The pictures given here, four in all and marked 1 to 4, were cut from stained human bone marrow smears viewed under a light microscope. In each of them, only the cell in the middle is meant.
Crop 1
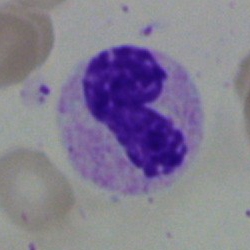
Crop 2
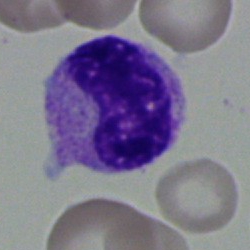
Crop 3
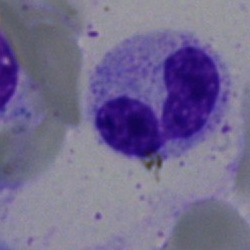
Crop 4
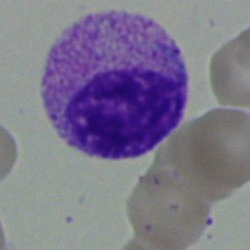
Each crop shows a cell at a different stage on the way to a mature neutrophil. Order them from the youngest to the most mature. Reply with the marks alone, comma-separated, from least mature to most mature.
4, 2, 1, 3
